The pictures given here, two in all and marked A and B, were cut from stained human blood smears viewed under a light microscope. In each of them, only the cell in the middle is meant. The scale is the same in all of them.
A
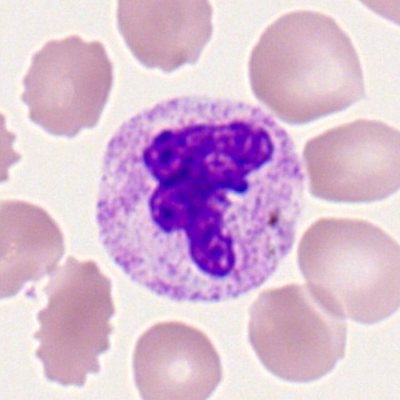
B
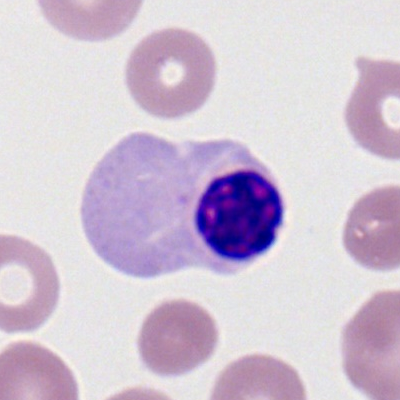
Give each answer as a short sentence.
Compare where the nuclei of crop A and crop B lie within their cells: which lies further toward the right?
In crop B the nucleus is shifted more toward the right.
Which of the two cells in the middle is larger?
The cell in crop A is larger, with about 1.5 times the area of the one in crop B.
